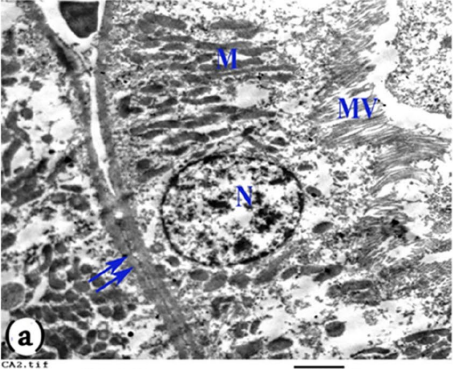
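This is a tall epithelial cell of a kidney tubule, with a round nucleus lying toward the basal side and a dense fringe of long, slender microvilli forming a brush border at its apex. The nucleus is pale with scattered small clumps of dark chromatin, a euchromatic nucleus. Above and around it, many elongated dark mitochondria lie packed in roughly parallel rows, set between infoldings of the basal membrane. The picture fits a proximal convoluted tubule cell with its typical basal striation and brush border.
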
